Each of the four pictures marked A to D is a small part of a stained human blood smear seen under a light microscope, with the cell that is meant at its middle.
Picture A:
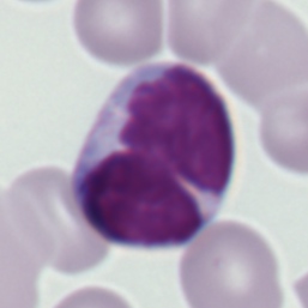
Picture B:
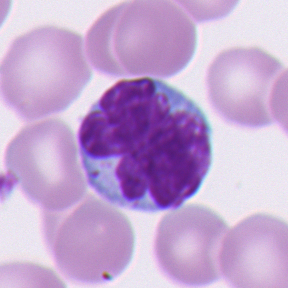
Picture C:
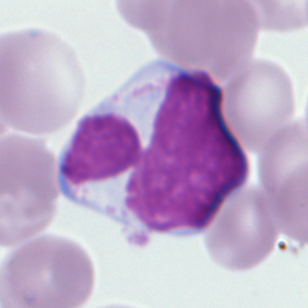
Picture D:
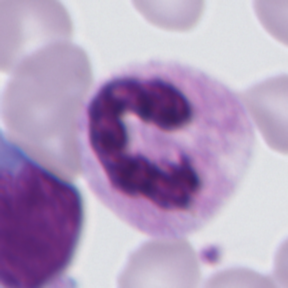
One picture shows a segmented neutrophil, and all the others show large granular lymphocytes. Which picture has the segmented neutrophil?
D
